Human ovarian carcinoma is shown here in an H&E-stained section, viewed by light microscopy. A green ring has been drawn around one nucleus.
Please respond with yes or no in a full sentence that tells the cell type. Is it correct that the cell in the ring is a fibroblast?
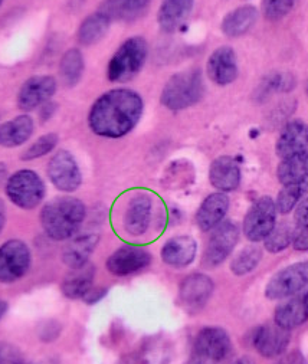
No, the cell in the ring is correctly named a carcinoma cell; it is not a fibroblast.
